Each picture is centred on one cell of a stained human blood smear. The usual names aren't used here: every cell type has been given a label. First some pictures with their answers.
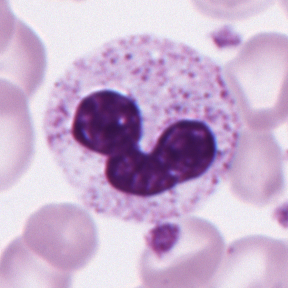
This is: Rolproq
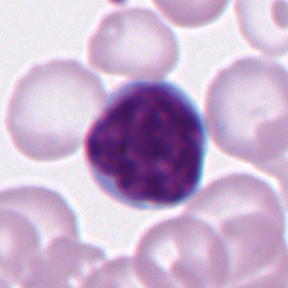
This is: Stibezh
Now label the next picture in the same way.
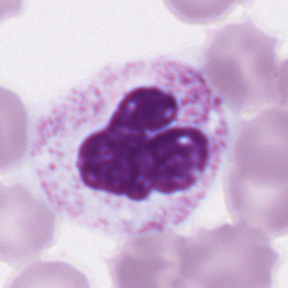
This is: Rolproq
